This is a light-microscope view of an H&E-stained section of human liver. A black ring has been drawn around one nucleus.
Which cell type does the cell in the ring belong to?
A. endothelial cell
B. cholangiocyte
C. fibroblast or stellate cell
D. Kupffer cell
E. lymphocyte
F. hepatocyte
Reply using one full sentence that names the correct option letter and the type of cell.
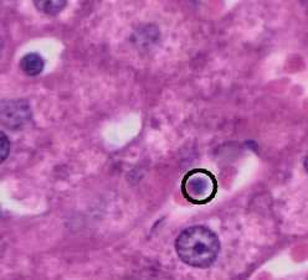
The correct option is E, and the cell in the ring is a lymphocyte.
